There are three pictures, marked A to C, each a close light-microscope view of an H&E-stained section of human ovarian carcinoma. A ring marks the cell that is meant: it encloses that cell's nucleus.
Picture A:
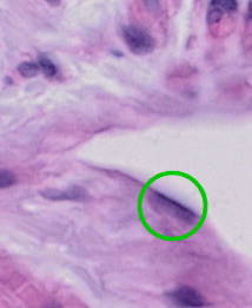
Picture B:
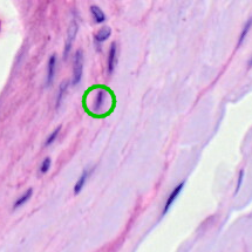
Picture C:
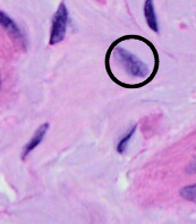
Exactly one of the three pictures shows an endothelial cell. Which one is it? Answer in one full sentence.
Picture A is the one that shows the endothelial cell.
